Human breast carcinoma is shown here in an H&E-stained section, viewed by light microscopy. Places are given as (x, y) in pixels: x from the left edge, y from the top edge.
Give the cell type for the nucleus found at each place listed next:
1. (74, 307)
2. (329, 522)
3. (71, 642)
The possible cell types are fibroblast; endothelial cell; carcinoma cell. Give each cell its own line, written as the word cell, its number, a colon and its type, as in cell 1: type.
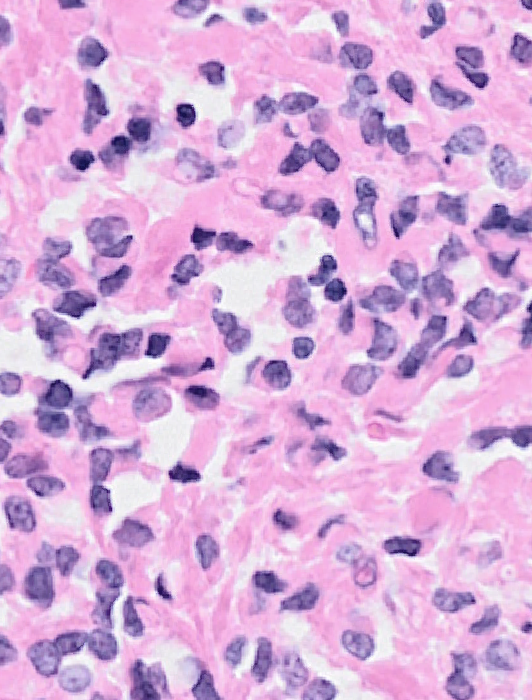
cell 1: carcinoma cell
cell 2: fibroblast
cell 3: carcinoma cell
